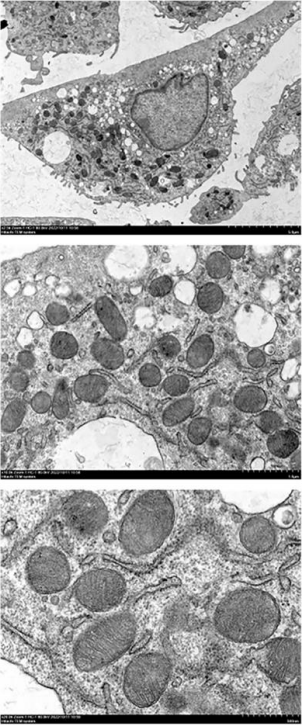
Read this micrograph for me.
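This is a cell seen by electron microscopy at rising magnification, with a large rounded nucleus whose outline is indented and a cytoplasm crowded with dark granules, pale vacuoles and many mitochondria. At higher power the mitochondria are mostly round to oval, densely packed side by side, each with a dark matrix crossed by many fine parallel cristae, and strands of rough endoplasmic reticulum run between them. The cell edge carries many small folds and projections.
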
